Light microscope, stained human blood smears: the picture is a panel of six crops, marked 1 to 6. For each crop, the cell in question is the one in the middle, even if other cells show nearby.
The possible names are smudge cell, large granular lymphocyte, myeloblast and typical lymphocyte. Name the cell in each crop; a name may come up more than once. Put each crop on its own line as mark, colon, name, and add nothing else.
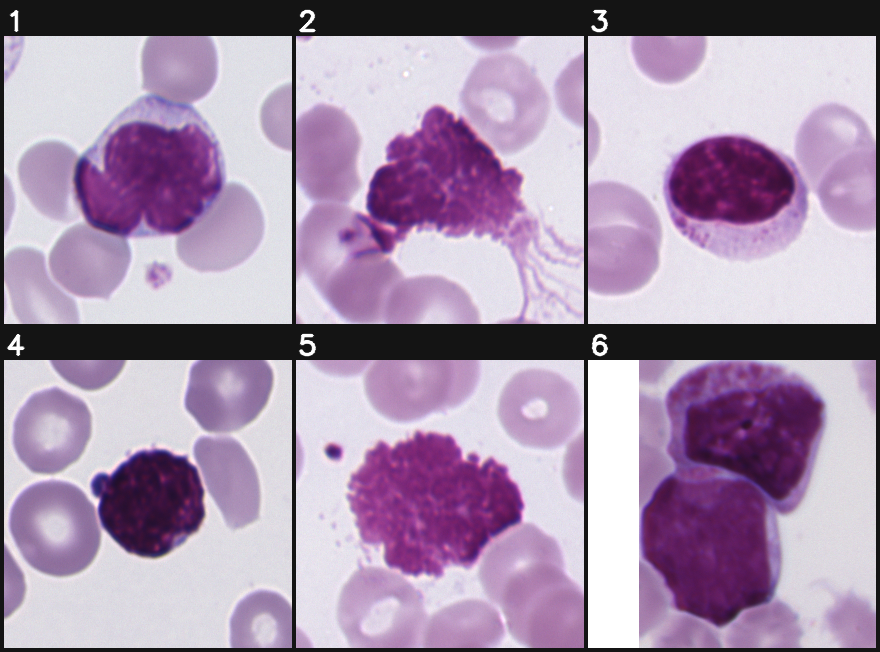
1: large granular lymphocyte
2: smudge cell
3: large granular lymphocyte
4: myeloblast
5: smudge cell
6: myeloblast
